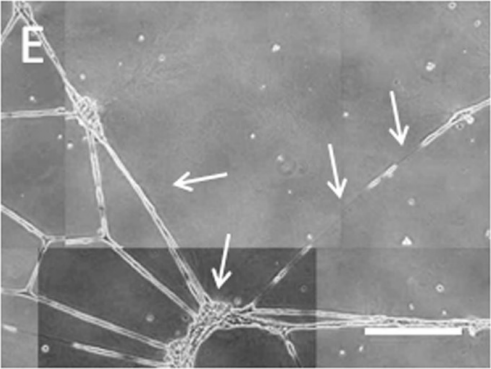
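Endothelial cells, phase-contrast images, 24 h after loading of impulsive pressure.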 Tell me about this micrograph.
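Some thick cords made of elongated cells still radiate from dense nodes. Other cords thin to faint strands or stop abruptly, leaving gaps between segments. Large regions of the field are empty, so the mesh looks sparser than an intact one.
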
